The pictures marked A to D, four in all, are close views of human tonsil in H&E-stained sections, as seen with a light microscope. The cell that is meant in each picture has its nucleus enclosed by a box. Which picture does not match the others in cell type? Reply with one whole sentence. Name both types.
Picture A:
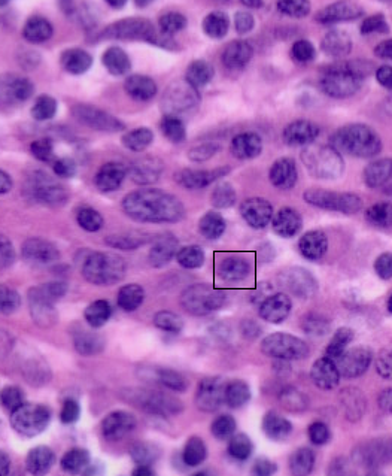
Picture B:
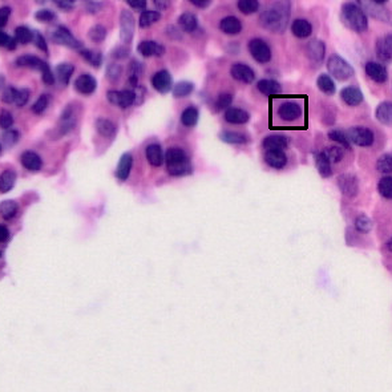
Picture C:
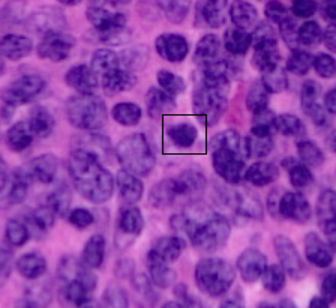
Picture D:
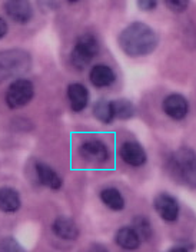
Picture C differs, because its cell is a proliferating B cell and the rest are plasma cells.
